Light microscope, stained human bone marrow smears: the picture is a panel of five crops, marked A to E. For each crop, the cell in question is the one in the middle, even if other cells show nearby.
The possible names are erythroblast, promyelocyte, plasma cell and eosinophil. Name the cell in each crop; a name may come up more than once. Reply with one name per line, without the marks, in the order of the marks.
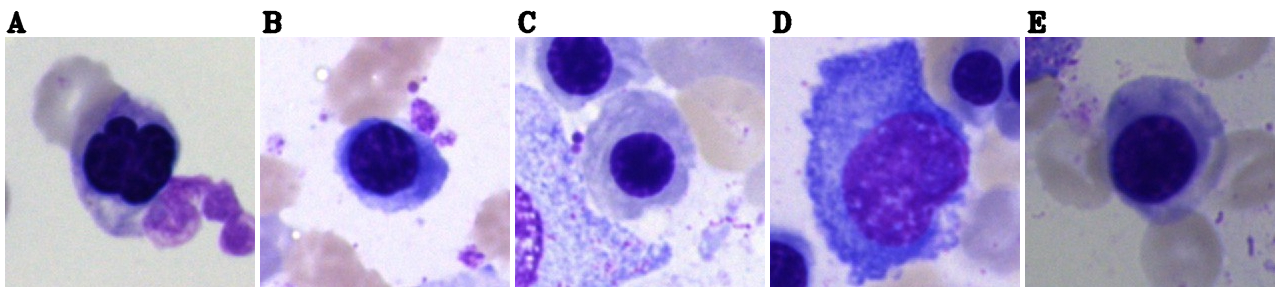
erythroblast
erythroblast
erythroblast
plasma cell
erythroblast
